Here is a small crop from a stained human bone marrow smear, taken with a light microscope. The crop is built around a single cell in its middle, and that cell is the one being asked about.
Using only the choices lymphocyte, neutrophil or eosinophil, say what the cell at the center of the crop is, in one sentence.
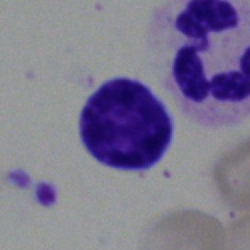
This crop has a lymphocyte at its centre.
